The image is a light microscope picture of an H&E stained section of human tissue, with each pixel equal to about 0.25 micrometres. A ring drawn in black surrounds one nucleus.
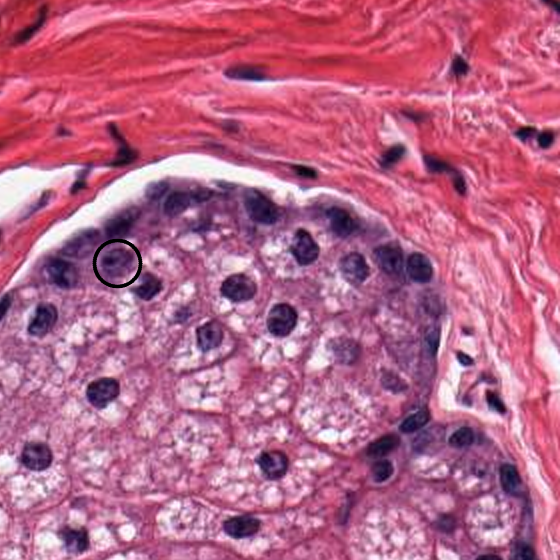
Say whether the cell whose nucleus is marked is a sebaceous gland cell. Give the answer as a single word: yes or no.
yes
